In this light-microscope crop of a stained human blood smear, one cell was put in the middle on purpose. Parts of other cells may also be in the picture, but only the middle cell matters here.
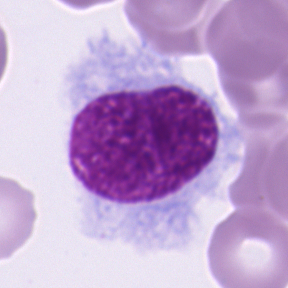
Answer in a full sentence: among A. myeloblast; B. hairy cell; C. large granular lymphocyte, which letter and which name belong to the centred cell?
The one cell at the centre is a hairy cell, as correctly stated in option B.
